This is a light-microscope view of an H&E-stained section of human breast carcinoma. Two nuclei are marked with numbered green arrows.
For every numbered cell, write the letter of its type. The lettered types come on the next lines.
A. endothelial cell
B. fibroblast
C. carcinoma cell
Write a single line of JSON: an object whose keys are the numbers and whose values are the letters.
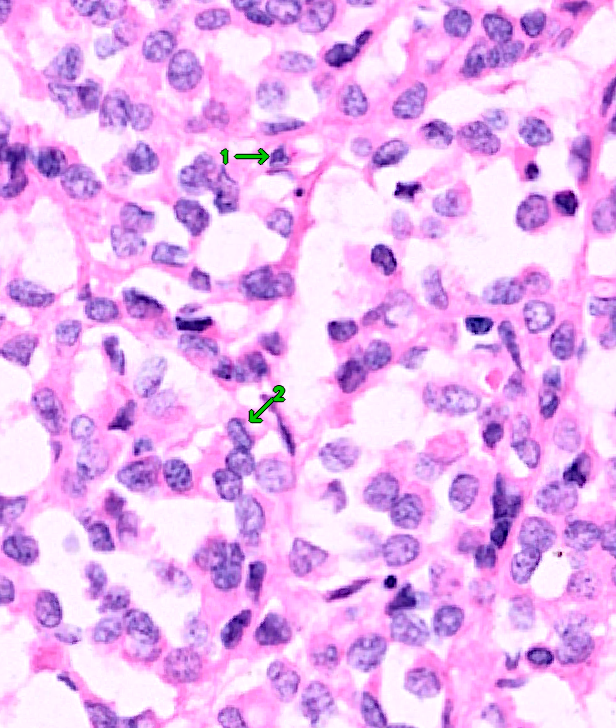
{"1": "A", "2": "C"}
